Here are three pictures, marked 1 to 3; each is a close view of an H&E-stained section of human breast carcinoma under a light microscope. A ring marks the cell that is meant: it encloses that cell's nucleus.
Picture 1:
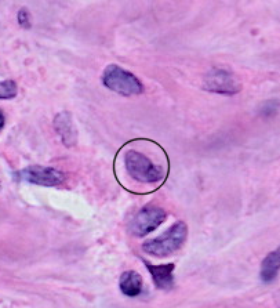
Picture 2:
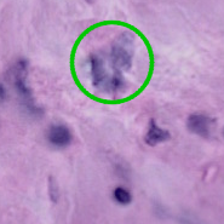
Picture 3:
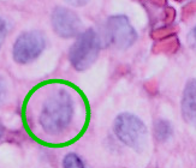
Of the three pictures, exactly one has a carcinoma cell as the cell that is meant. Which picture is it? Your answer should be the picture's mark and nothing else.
3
